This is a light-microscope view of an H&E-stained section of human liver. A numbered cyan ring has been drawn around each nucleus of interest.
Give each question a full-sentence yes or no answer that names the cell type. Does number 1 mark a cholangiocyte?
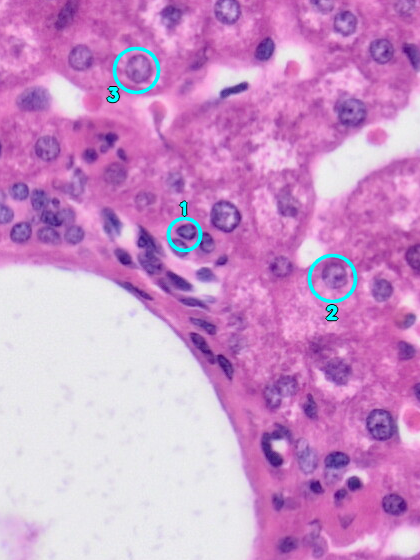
Yes, that one, number 1, is a cholangiocyte.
